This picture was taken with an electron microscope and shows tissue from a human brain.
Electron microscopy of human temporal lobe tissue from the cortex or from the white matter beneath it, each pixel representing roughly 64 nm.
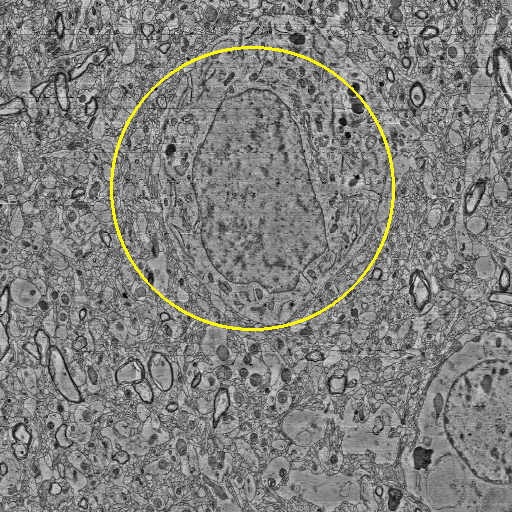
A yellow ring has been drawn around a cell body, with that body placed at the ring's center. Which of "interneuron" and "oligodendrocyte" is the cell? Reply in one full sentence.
In this picture, an interneuron is the cell at the center of the yellow ring.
